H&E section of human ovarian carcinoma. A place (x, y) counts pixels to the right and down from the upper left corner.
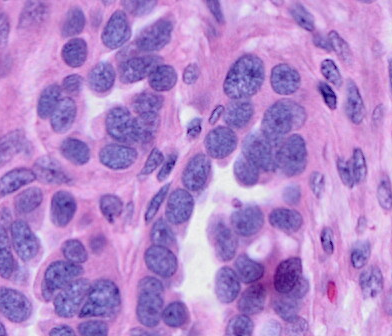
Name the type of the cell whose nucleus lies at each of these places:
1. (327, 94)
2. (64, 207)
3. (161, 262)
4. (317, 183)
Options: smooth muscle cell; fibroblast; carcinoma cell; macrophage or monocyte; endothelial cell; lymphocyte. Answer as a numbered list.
1. lymphocyte
2. carcinoma cell
3. carcinoma cell
4. fibroblast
